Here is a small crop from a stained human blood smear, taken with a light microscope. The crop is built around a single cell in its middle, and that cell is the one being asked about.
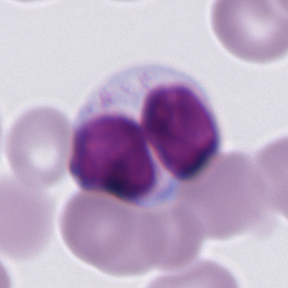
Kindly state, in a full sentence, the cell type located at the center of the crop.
Within this crop, a large granular lymphocyte occupies the central position.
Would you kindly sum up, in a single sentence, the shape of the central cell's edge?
A smooth, projection-free outline is what this cell has.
